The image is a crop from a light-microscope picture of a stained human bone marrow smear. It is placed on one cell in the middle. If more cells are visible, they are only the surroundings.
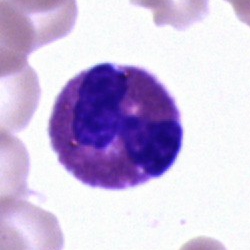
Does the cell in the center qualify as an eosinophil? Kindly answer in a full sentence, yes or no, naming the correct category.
Yes, an eosinophil is the cell positioned in the middle of the field.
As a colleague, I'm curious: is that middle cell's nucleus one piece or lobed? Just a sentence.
Look at the nucleus and you will find it divided into two or more lobes.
